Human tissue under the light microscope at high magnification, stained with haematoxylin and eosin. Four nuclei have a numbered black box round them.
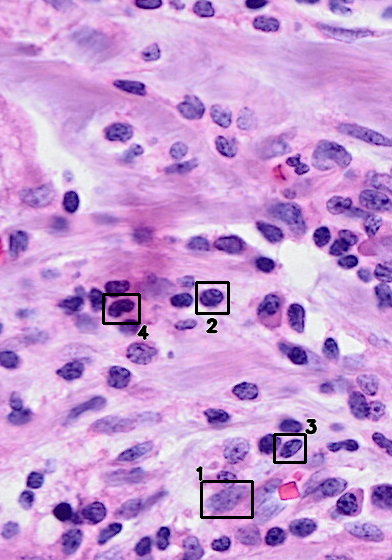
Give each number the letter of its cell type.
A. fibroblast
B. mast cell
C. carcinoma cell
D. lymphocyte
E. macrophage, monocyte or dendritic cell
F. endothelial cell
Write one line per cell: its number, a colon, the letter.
1: F
2: D
3: D
4: D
